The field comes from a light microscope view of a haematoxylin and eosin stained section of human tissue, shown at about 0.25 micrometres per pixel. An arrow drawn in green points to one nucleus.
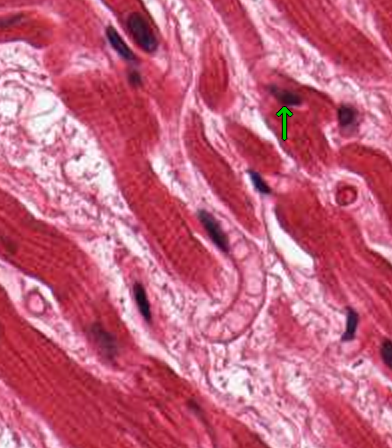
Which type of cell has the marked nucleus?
cardiomyocyte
